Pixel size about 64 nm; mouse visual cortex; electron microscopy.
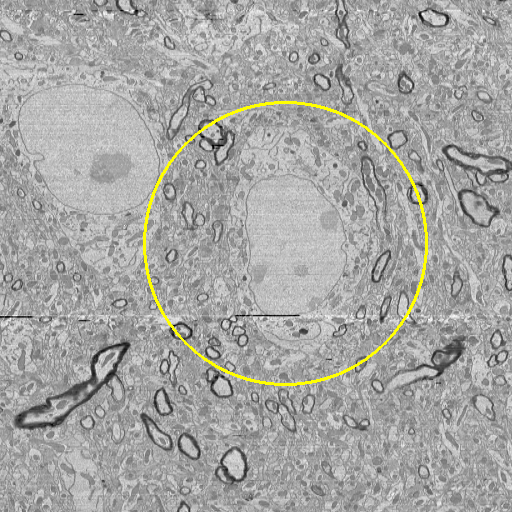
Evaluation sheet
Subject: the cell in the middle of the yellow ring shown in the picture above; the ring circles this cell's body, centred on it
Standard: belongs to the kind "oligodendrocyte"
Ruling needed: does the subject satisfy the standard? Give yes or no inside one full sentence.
No, the cell in the middle of the ring in the picture above belongs to some other kind.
